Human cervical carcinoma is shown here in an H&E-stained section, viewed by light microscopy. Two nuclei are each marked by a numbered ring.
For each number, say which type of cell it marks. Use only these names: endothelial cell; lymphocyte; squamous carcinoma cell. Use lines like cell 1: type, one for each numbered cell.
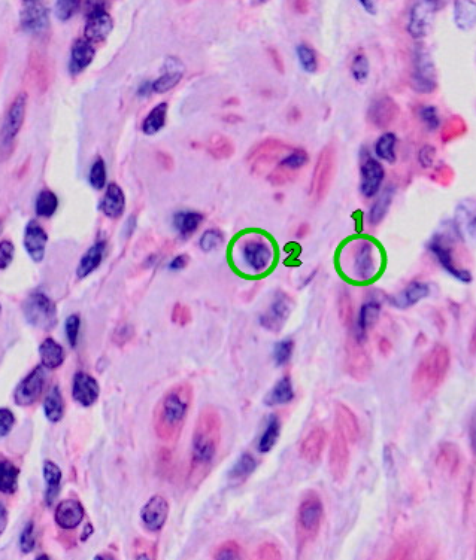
cell 1: endothelial cell
cell 2: lymphocyte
